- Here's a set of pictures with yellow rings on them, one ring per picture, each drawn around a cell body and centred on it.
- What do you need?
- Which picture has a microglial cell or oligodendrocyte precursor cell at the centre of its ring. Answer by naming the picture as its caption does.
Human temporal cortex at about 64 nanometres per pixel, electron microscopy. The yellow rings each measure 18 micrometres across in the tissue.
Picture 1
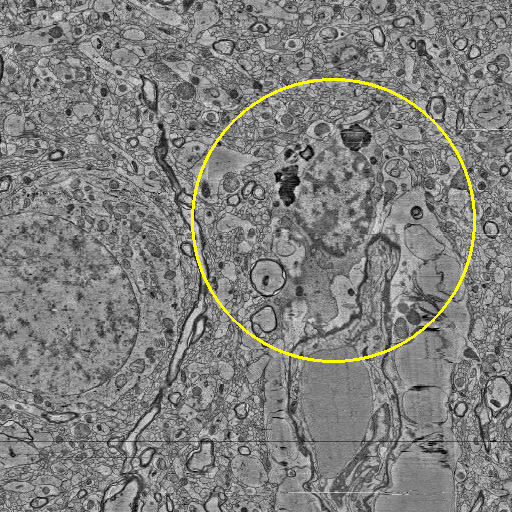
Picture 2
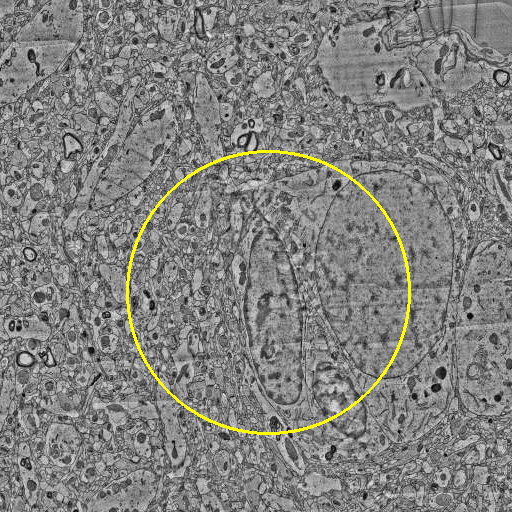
Picture 2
